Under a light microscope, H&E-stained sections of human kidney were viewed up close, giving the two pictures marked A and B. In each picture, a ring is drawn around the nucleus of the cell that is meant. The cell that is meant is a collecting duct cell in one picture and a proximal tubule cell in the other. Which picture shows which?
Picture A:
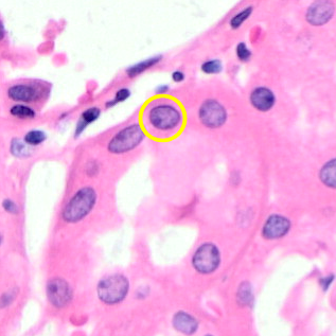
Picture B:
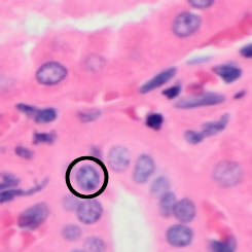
A: proximal tubule cell
B: collecting duct cell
